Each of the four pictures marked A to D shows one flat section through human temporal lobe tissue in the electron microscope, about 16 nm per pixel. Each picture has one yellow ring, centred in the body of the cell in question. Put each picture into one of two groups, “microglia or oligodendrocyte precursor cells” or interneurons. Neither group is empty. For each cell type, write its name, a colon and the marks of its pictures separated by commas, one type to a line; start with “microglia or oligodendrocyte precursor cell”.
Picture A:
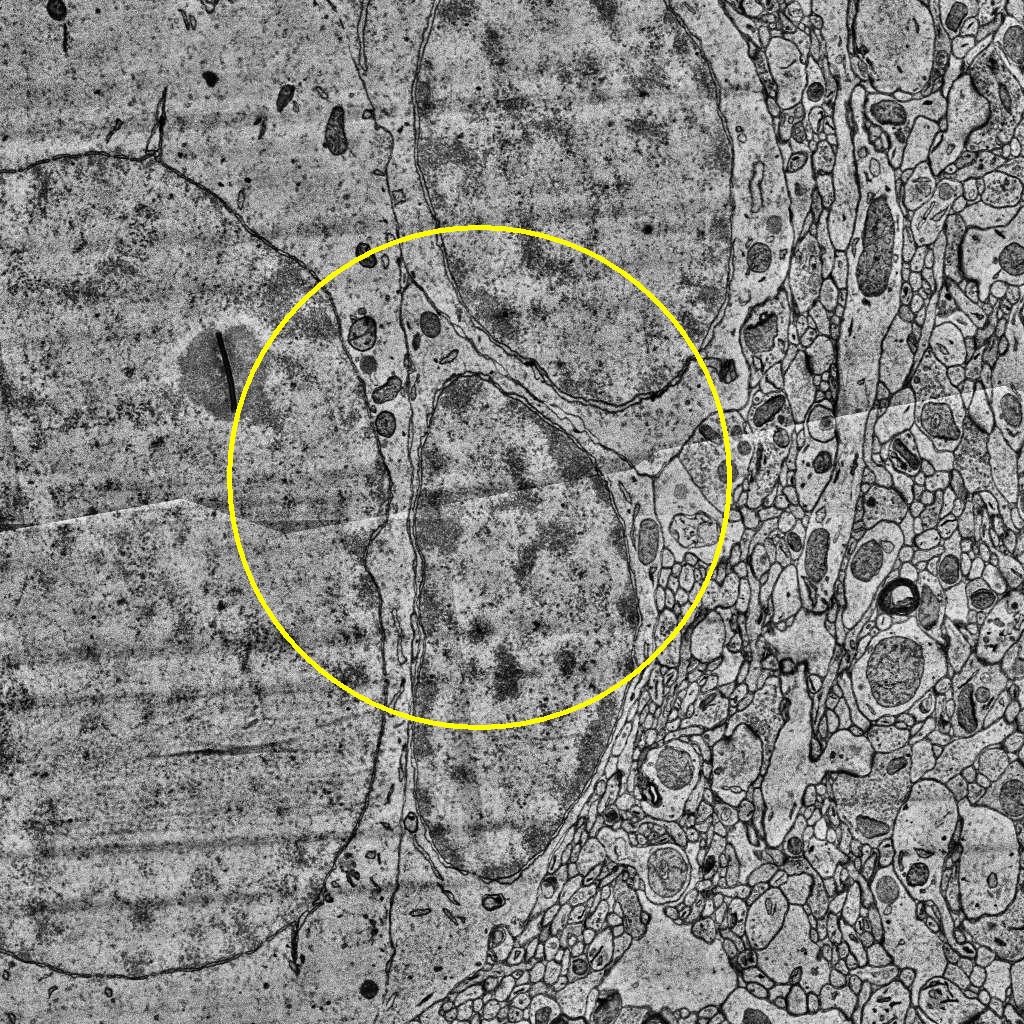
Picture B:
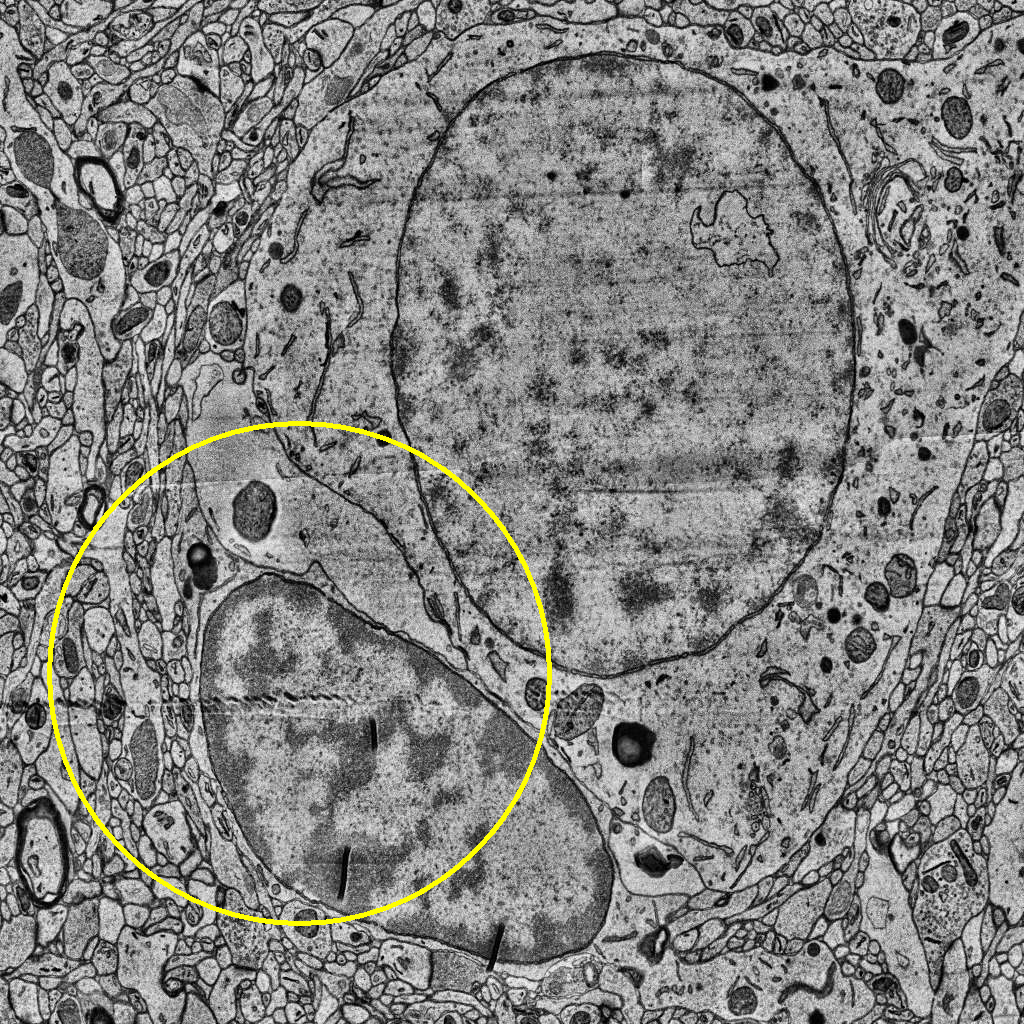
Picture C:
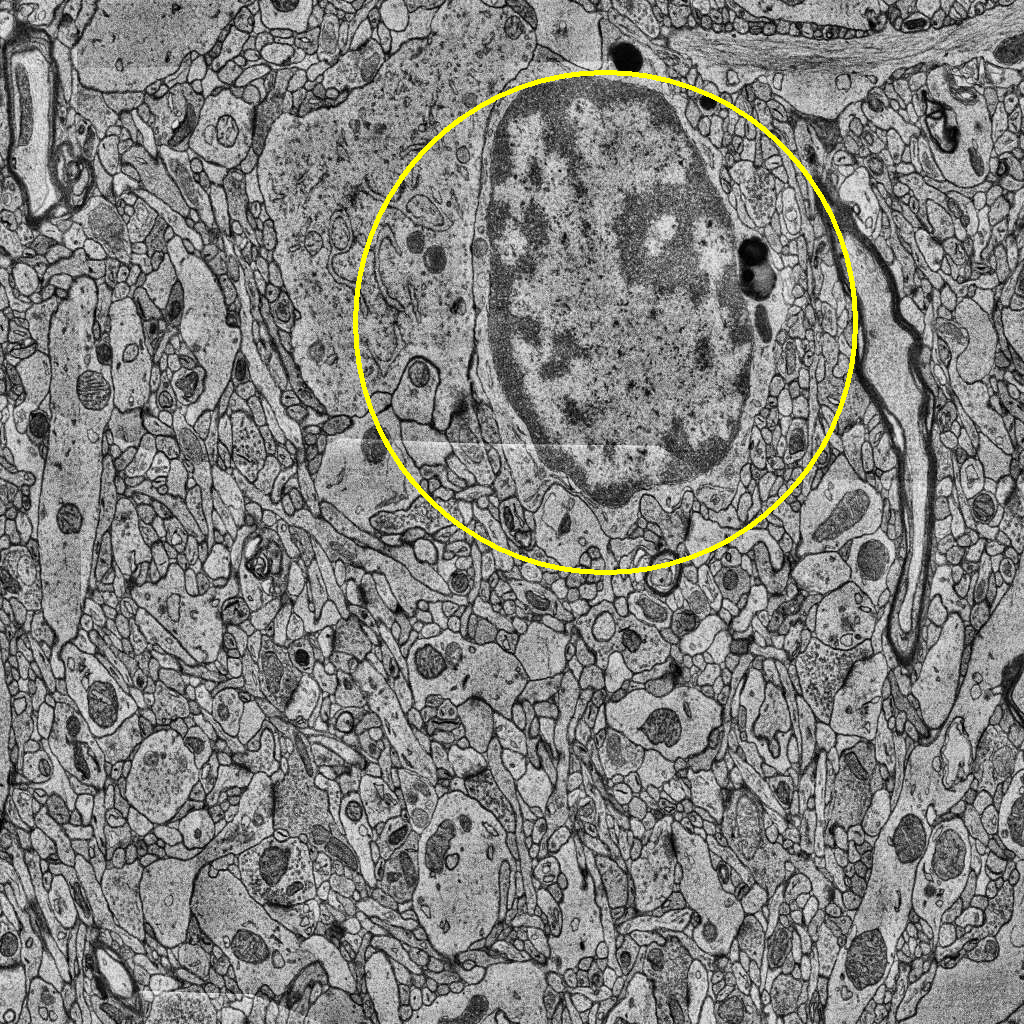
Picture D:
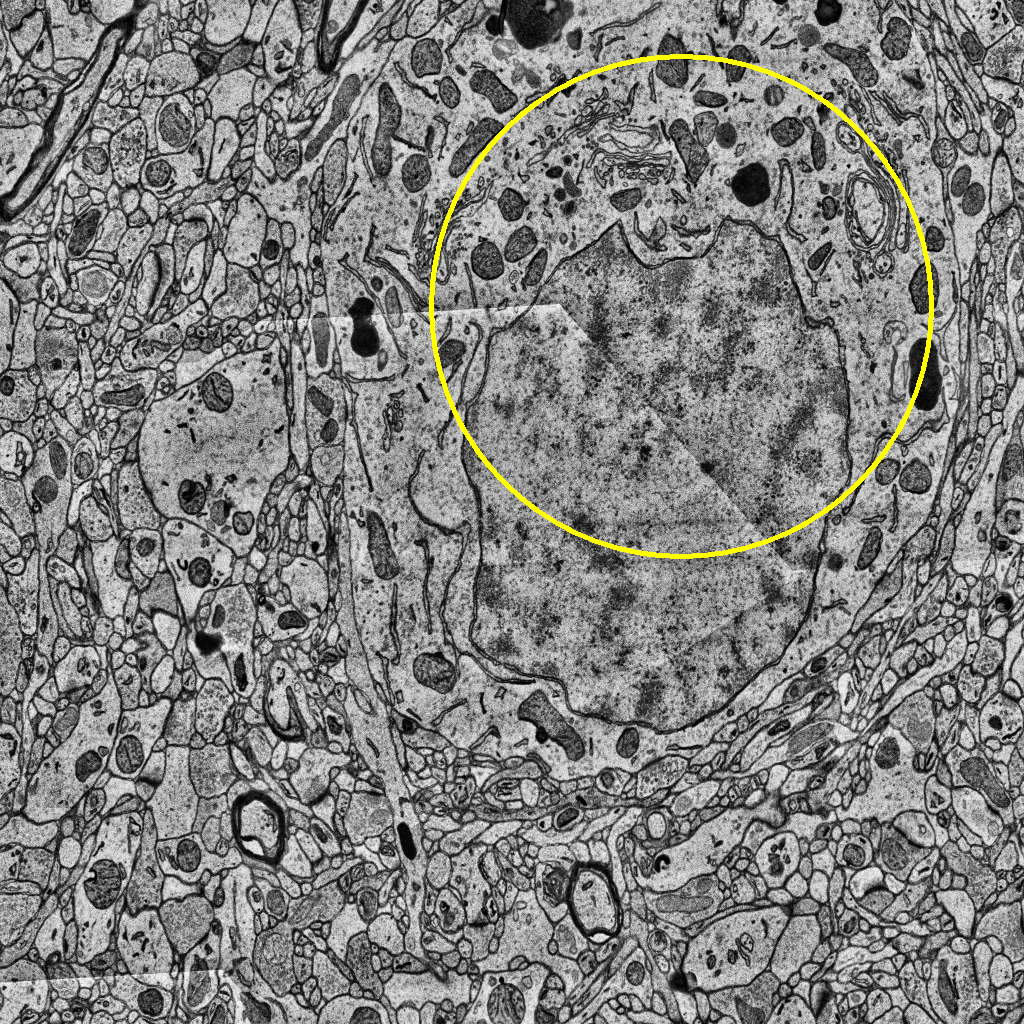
microglia or oligodendrocyte precursor cell: A, B, C
interneuron: D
